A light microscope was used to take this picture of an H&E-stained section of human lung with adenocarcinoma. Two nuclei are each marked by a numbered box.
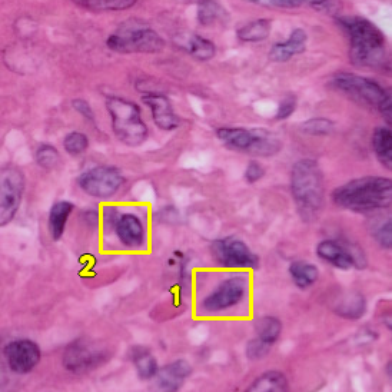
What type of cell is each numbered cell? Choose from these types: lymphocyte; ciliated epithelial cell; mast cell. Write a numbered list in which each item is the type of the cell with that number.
1. mast cell
2. lymphocyte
